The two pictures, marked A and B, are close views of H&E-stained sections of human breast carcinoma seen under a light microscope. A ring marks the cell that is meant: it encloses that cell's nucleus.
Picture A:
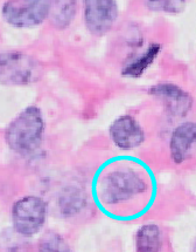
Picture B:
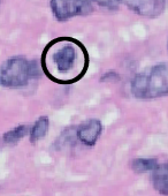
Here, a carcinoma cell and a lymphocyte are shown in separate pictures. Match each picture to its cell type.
A: carcinoma cell
B: lymphocyte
